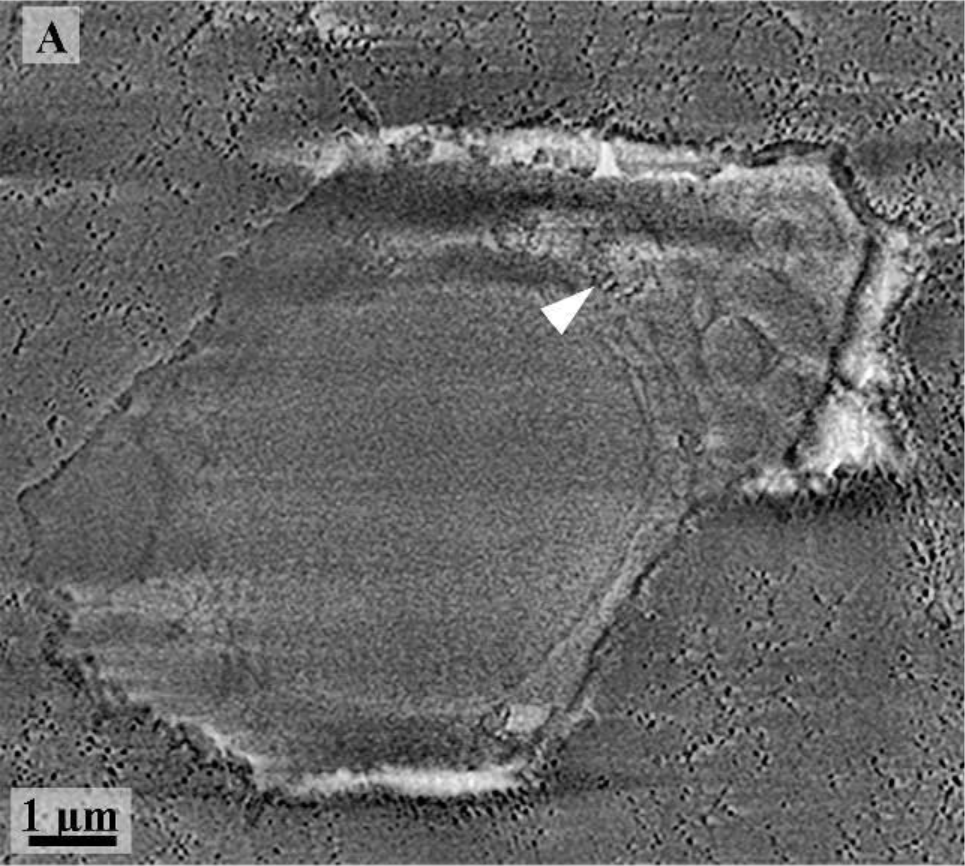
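An osteocyte sits in its lacuna, its polygonal cell body sharply outlined against the surrounding mineralized matrix, which is riddled with small pores and channels. Bright rims mark the edges of the lacuna along parts of the cell border, and within the cytoplasm faint rounded membrane-bound vesicles with fine granules can be made out.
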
